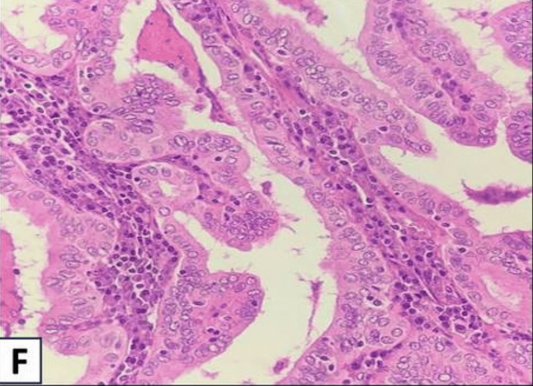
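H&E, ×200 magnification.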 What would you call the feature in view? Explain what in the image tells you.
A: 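Elongated fronds project into open spaces. Each frond has a central core with darker small cells. Epithelium lines the frond surfaces. That points to this answer: papillary architecture.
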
